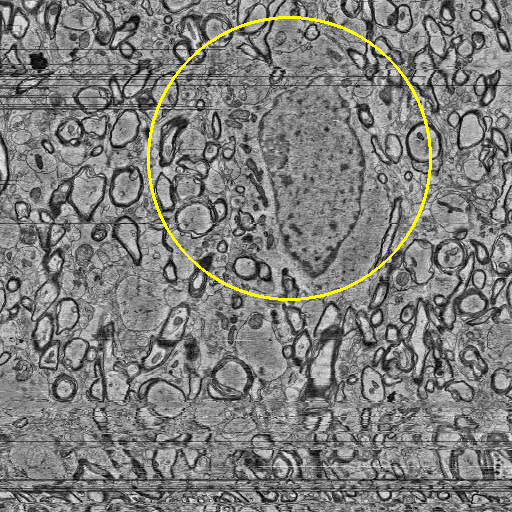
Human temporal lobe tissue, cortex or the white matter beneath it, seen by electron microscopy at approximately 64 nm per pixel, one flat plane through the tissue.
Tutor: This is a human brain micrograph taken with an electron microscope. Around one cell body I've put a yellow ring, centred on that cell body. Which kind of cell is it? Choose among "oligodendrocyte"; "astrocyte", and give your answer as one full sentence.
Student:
Going by your list, the cell centred in the yellow ring is an astrocyte.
